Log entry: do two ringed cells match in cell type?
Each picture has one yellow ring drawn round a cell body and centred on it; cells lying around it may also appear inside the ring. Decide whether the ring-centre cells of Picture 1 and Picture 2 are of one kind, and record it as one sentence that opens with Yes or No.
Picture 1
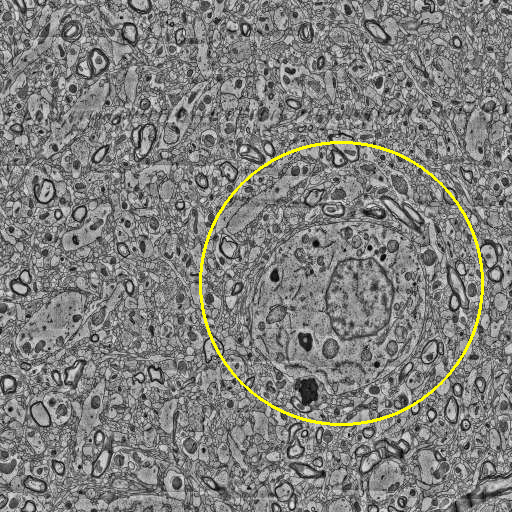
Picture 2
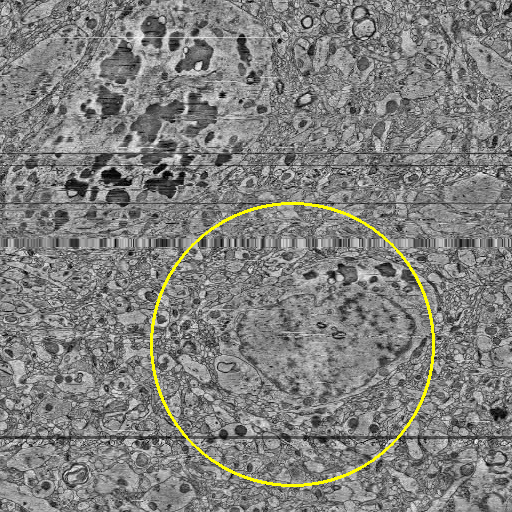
No, the cells at the ring centres of the two pictures belong to two kinds.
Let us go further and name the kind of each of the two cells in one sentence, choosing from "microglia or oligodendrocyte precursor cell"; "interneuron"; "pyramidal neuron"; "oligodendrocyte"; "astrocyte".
The ring of the first picture is on a pyramidal neuron, the ring of the second on an interneuron.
